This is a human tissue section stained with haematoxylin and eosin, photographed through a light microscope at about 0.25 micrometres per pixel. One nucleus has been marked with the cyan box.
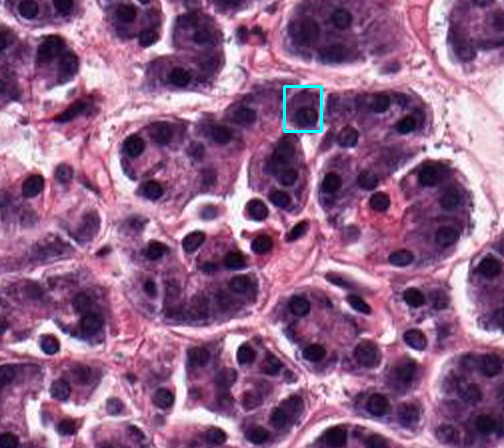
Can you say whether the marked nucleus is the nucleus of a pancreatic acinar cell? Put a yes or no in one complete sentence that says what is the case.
Yes, to a pancreatic acinar cell belongs the marked nucleus.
